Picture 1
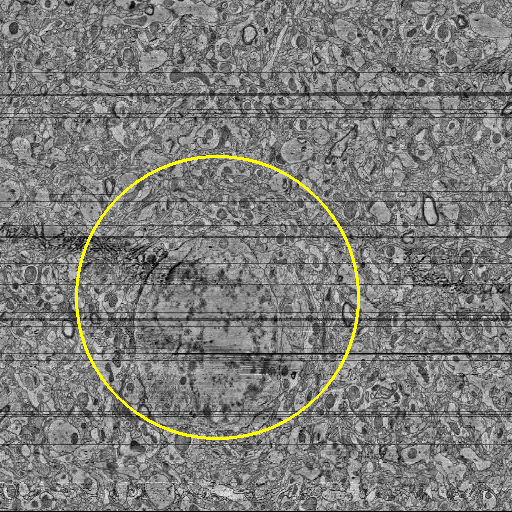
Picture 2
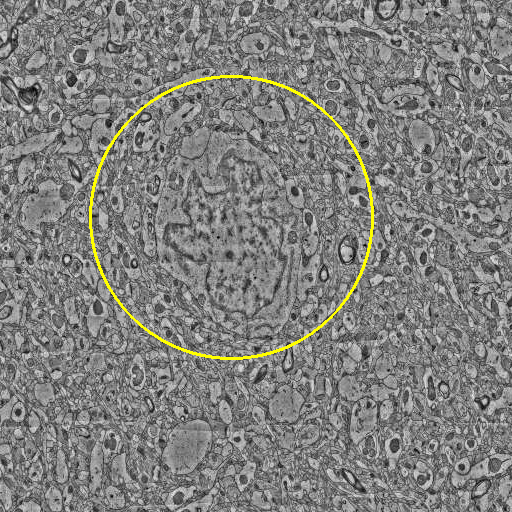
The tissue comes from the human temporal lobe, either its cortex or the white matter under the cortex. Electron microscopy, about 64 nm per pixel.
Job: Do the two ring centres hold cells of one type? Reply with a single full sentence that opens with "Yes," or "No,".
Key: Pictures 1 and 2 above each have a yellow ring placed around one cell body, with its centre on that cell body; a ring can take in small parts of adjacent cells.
Yes, the cells at the two ring centres are of one single type.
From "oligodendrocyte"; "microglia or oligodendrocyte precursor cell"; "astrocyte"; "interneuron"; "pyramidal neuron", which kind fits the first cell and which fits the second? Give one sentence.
Both pictures show an interneuron at the centre of the ring.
